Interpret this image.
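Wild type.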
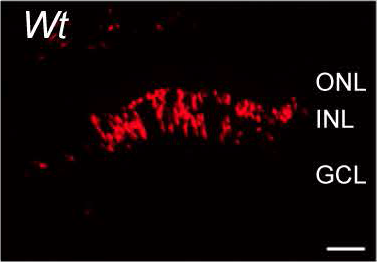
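The labelled nuclei form a dense band confined to the central part of the field. They are elongated and oriented radially, spanning from the level of the inner nuclear layer toward the outer nuclear layer. Only scattered labelled cells lie outside this band.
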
